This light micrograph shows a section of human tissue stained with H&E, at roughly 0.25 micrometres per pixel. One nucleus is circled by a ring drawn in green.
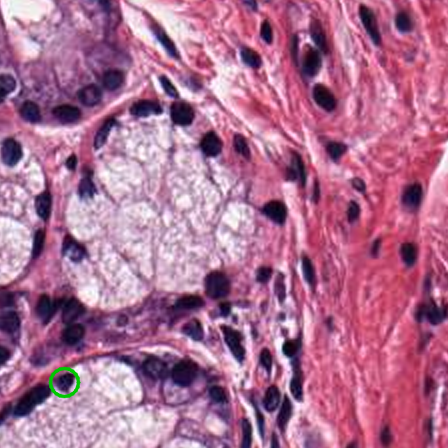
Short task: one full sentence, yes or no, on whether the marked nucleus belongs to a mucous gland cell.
Yes, the marked nucleus is the nucleus of a mucous gland cell.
